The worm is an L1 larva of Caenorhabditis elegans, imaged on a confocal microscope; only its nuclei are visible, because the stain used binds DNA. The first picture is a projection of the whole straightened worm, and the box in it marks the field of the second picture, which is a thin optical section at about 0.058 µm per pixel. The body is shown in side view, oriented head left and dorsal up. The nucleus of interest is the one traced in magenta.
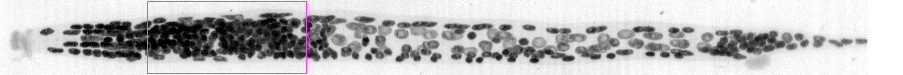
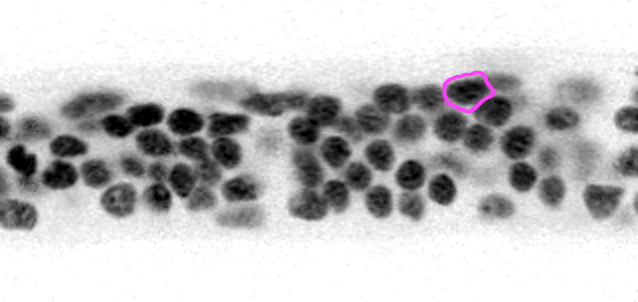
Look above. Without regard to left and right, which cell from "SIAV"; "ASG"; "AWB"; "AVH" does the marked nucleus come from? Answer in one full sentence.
It belongs to AVH, a neuron.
